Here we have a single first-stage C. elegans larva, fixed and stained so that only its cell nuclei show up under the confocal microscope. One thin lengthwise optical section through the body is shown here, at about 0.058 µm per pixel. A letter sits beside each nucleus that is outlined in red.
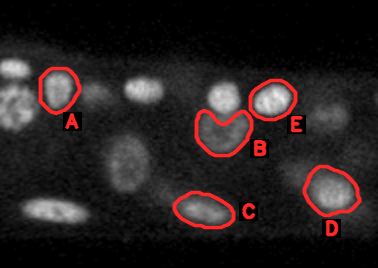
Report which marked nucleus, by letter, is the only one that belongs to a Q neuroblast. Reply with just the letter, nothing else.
D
